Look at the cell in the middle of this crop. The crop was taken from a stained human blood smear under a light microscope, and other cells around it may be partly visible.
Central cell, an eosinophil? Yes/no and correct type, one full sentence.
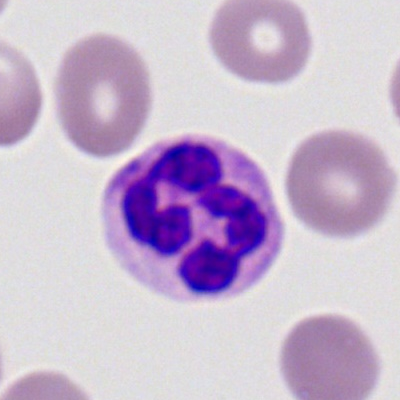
No, the cell at the center of this crop is a segmented neutrophil instead of an eosinophil.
